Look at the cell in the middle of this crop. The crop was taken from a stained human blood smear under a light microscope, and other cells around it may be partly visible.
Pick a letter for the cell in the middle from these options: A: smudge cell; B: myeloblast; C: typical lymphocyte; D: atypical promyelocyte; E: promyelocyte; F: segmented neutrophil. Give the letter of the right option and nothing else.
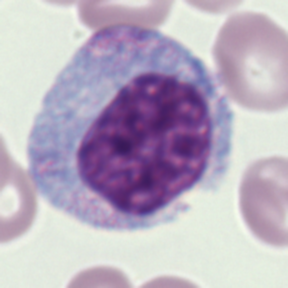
E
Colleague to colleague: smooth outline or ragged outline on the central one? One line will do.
Its surface contour departs from smoothness through ragged edges or outward projections.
